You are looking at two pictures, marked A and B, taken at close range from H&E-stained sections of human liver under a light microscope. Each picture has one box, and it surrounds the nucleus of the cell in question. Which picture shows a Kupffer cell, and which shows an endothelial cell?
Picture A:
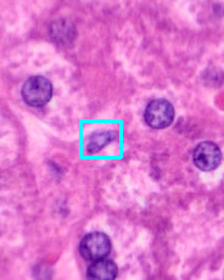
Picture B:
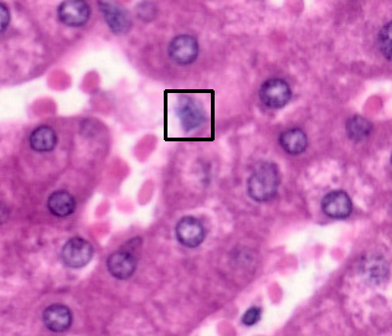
A: Kupffer cell
B: endothelial cell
